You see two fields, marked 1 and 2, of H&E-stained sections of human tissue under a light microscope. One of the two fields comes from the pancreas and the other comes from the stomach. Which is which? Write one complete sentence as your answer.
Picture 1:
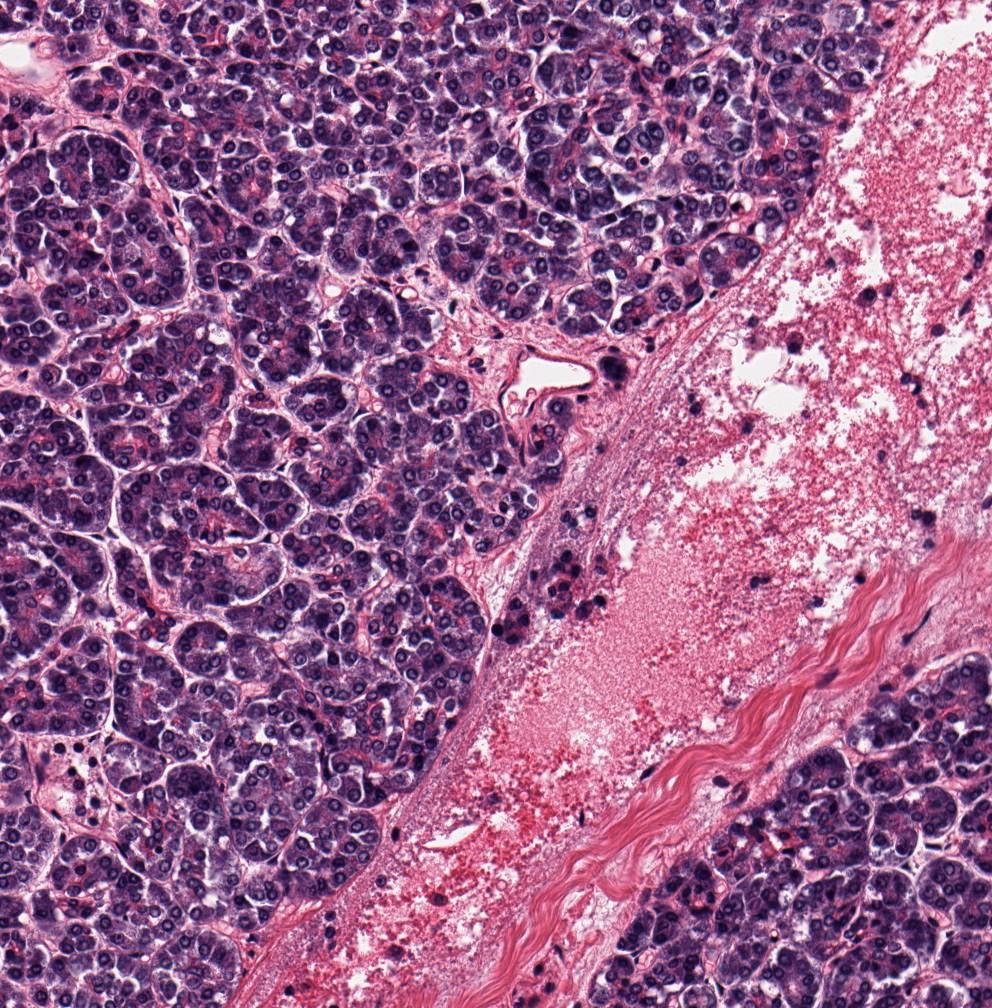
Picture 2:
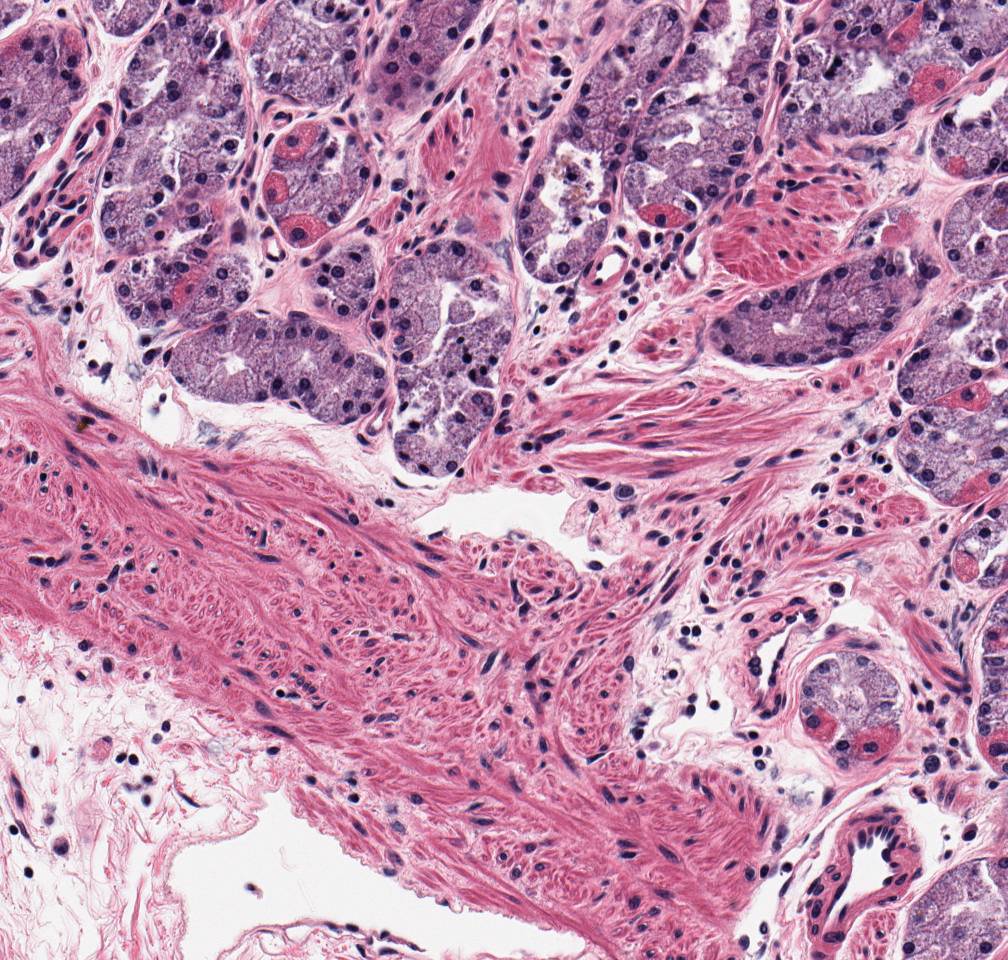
It is picture 1 that comes from the pancreas, and picture 2 that comes from the stomach.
